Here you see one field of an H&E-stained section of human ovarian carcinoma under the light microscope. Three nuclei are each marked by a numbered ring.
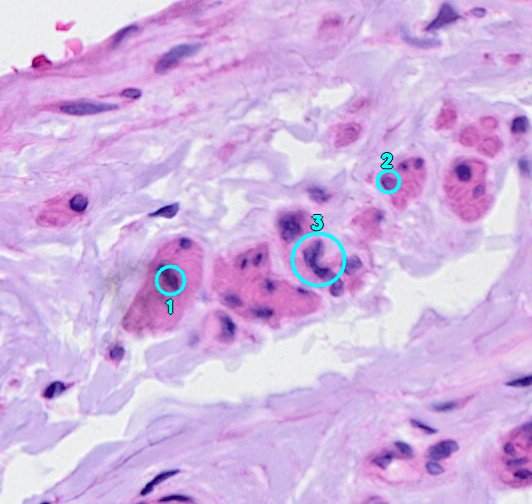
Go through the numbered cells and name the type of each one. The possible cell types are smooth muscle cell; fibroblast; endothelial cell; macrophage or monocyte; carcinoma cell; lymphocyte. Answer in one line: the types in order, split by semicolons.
smooth muscle cell; smooth muscle cell; endothelial cell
